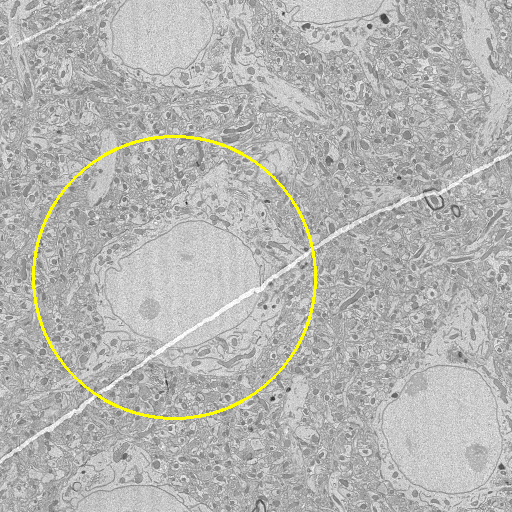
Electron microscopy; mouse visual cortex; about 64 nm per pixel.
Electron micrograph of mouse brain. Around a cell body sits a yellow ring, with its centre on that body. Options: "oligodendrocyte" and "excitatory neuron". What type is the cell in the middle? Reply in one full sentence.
The cell sitting at the centre of the yellow ring is an excitatory neuron.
